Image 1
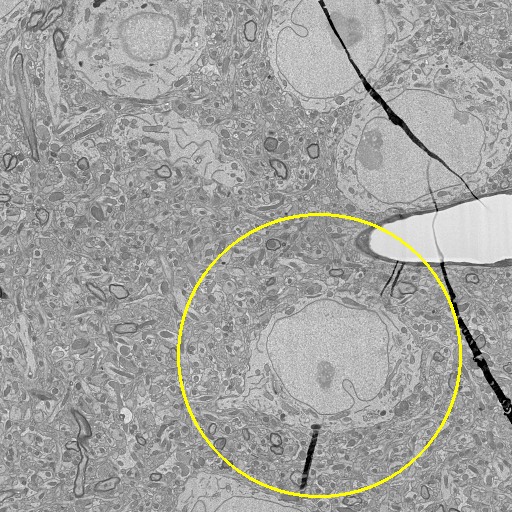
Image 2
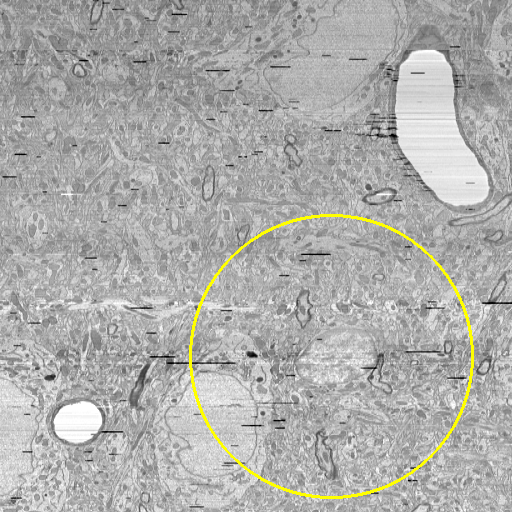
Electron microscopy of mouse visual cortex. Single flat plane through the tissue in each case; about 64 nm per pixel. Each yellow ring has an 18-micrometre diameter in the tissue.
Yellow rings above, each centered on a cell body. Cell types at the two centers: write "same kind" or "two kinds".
two kinds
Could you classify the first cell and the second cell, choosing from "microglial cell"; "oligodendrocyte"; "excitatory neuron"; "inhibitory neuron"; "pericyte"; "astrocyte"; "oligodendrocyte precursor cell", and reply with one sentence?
The second cell is an oligodendrocyte, while the first is an excitatory neuron.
